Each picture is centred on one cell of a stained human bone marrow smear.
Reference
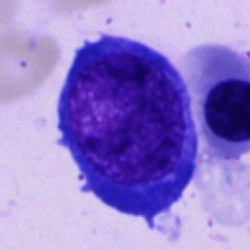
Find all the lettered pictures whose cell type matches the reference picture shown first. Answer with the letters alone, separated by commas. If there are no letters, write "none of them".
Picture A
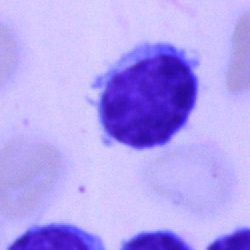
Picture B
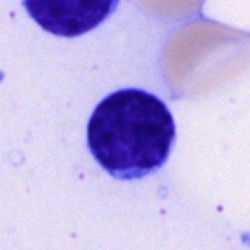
none of them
